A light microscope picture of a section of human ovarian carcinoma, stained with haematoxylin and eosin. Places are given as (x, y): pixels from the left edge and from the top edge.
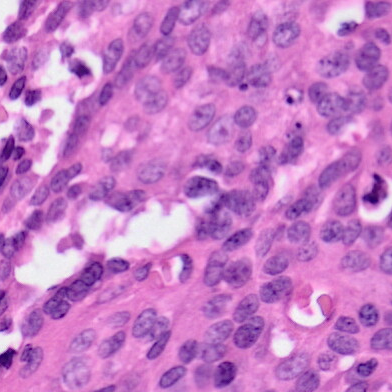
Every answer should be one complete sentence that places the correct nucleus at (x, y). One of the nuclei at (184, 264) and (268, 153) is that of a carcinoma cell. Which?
The nucleus at (268, 153) is the one of the two that belongs to a carcinoma cell.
